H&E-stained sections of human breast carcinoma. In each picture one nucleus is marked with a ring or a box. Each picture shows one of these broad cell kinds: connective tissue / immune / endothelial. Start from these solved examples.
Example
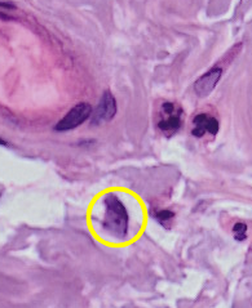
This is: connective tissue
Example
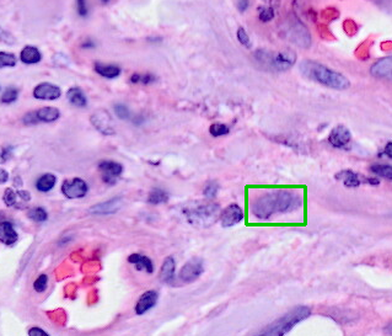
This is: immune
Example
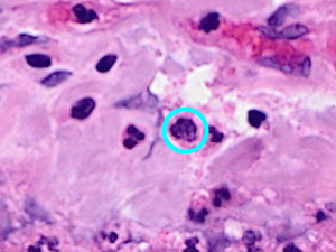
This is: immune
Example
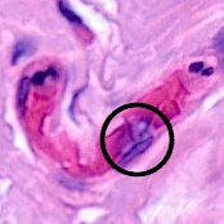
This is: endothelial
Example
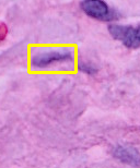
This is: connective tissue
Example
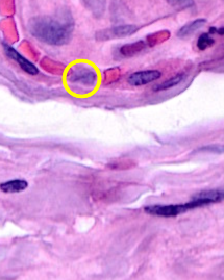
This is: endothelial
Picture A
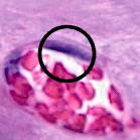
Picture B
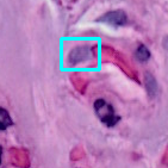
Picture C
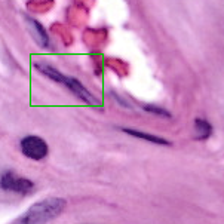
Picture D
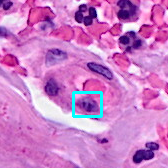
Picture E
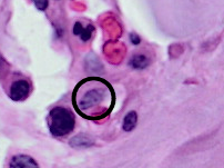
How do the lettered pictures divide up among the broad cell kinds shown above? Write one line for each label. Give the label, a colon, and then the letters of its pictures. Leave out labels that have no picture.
endothelial: A, B, C, D, E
